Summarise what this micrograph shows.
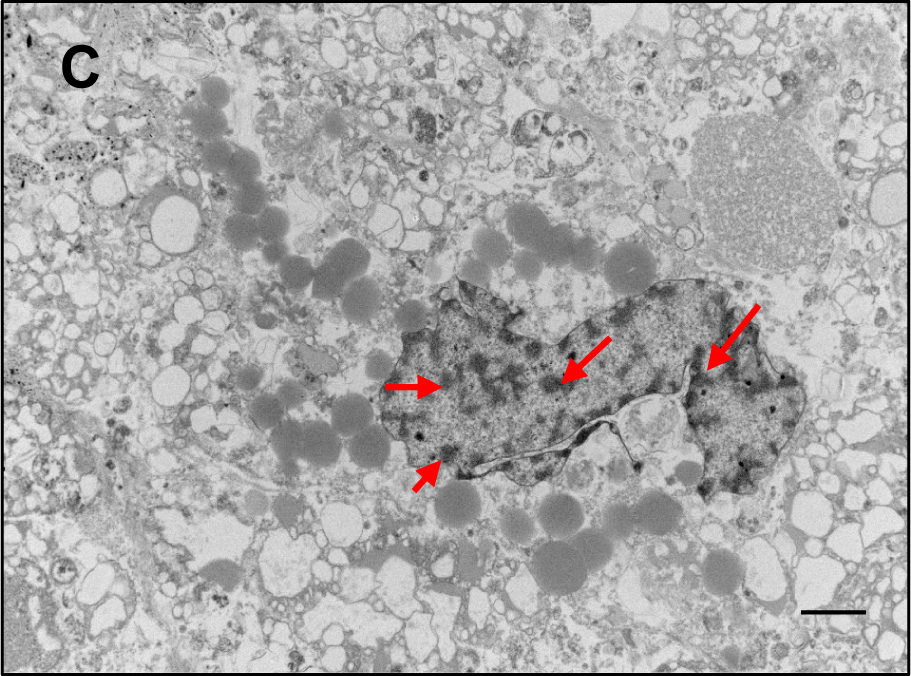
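Dark, electron-dense chromatin clumps lie along the inner edge of the nuclear envelope and in patches within the nucleus. The rest of the nucleoplasm is paler and granular. The cytoplasm around it is crowded with many round, uniformly grey droplets and numerous pale vacuoles.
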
